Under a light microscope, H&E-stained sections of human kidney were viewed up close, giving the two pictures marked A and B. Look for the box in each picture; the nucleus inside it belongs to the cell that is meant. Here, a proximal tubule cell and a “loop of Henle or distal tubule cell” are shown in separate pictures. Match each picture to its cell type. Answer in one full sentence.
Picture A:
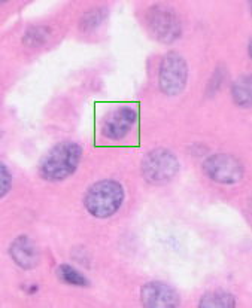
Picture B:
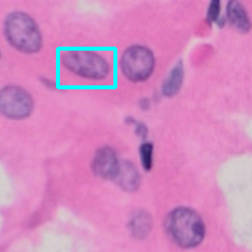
The cell in picture A is a “loop of Henle or distal tubule cell”, and the one in picture B is a proximal tubule cell.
